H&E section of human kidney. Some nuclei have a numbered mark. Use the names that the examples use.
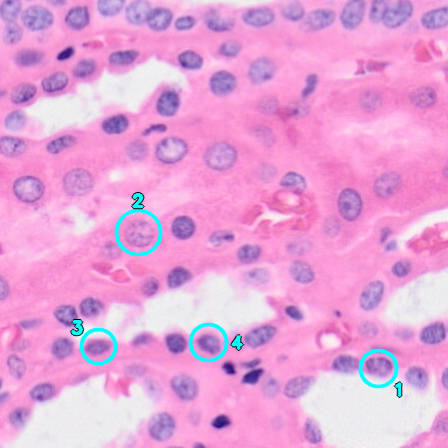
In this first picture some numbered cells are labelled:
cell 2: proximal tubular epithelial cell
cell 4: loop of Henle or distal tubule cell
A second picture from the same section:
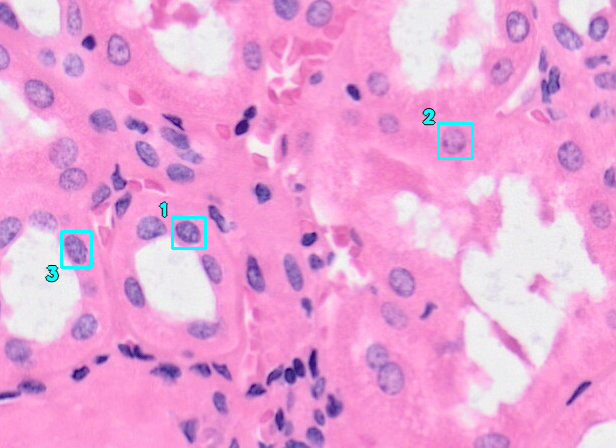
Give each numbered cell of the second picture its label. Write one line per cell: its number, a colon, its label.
1: loop of Henle or distal tubule cell
2: proximal tubular epithelial cell
3: loop of Henle or distal tubule cell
